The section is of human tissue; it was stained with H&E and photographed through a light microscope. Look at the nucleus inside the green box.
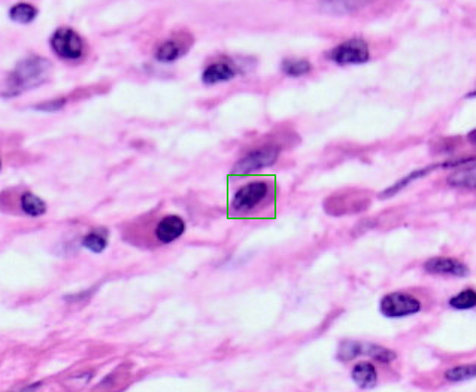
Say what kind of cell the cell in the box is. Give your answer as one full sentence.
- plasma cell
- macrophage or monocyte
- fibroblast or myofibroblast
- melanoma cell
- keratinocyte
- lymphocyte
The cell meant here is a plasma cell.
